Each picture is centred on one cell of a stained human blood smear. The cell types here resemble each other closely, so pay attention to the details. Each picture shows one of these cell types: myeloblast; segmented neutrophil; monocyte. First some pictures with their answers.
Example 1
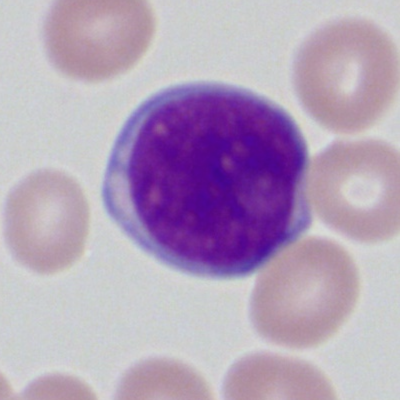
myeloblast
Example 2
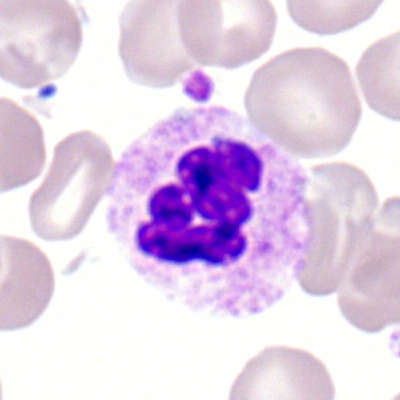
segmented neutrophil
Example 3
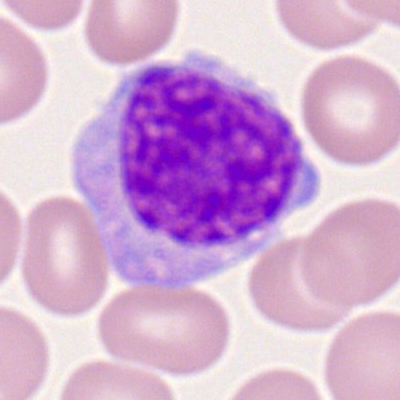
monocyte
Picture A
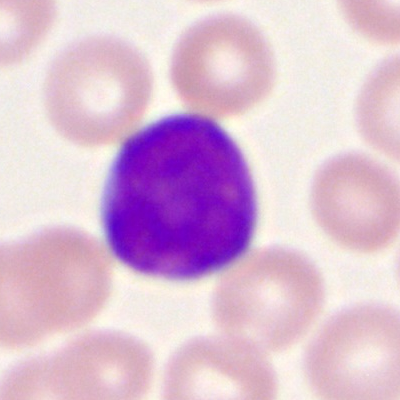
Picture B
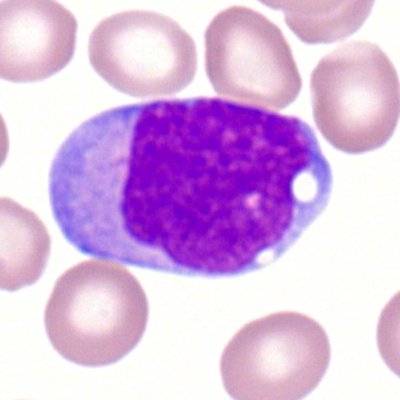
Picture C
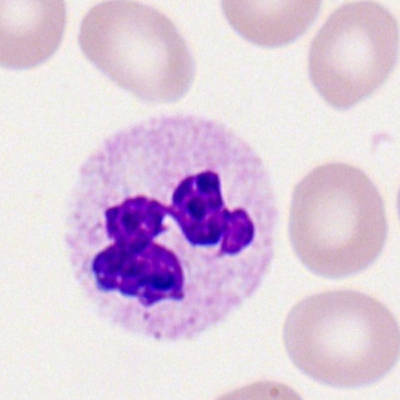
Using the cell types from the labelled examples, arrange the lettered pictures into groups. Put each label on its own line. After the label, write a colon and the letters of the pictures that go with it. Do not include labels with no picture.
myeloblast: A, B
segmented neutrophil: C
